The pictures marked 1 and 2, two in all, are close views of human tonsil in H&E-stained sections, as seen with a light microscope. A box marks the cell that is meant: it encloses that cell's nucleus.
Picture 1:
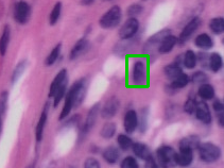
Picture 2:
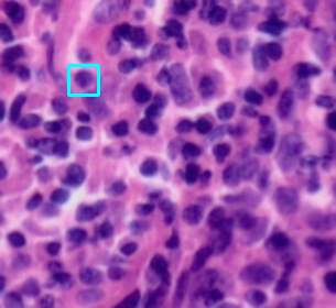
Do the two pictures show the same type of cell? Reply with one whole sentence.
Yes, they are the same type: both are endothelial cells.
